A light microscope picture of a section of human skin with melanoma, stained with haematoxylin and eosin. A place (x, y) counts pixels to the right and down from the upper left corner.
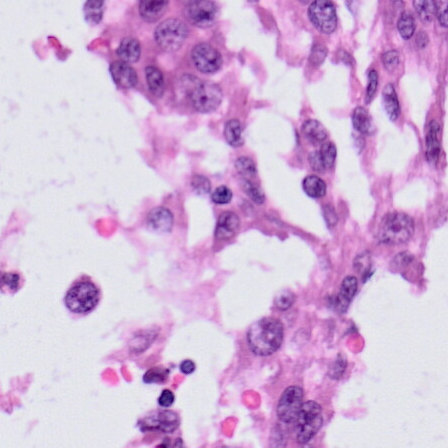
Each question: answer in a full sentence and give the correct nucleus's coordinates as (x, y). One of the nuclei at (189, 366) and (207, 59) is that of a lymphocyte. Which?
The correct choice is the nucleus at (189, 366), which belongs to a lymphocyte.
